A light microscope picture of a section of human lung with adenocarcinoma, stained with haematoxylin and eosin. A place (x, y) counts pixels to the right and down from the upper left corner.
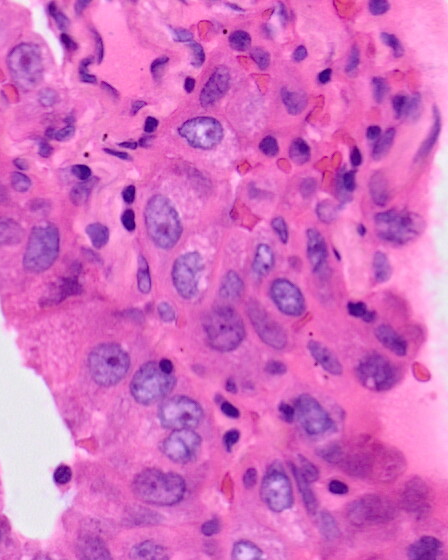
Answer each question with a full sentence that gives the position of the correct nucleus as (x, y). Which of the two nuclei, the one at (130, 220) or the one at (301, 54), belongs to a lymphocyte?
Identified as belonging to a lymphocyte is the nucleus at (130, 220).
